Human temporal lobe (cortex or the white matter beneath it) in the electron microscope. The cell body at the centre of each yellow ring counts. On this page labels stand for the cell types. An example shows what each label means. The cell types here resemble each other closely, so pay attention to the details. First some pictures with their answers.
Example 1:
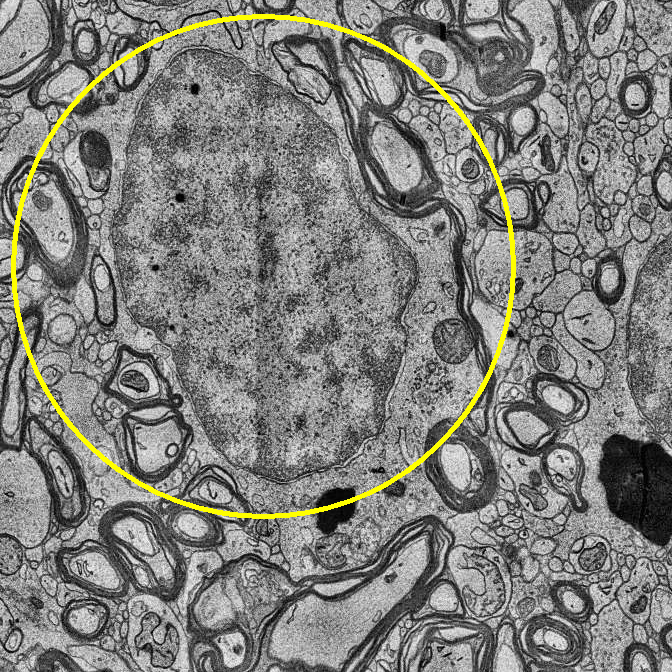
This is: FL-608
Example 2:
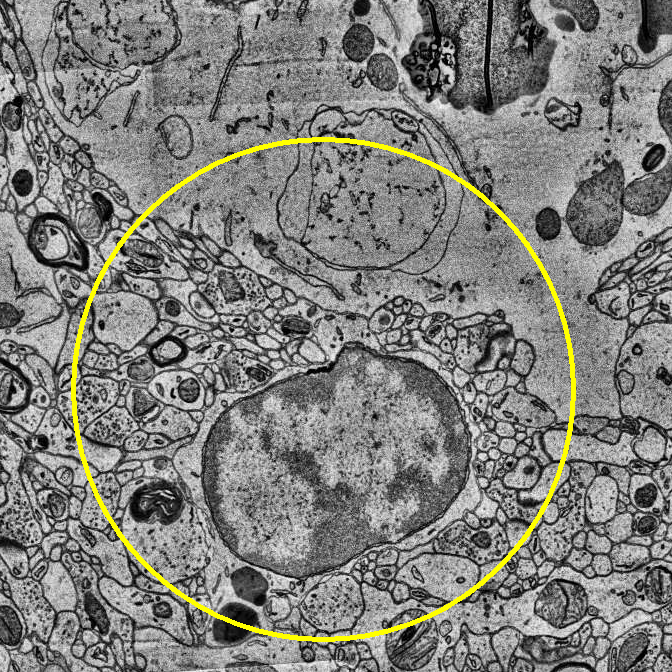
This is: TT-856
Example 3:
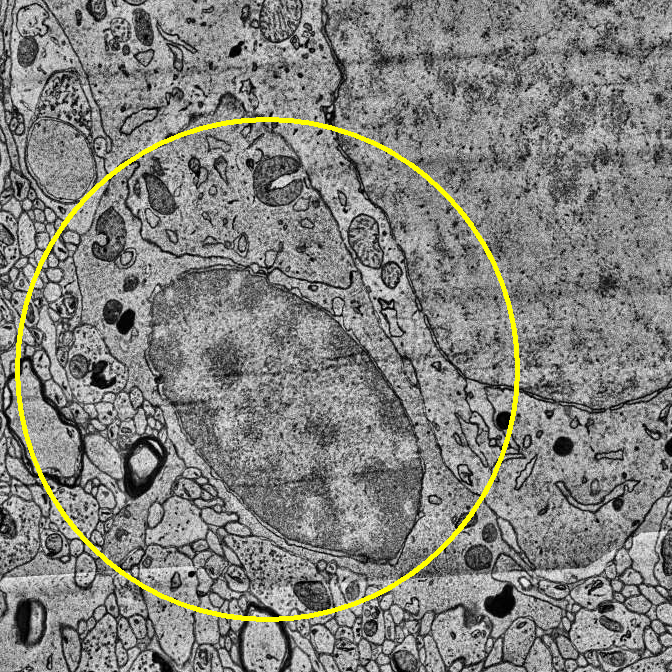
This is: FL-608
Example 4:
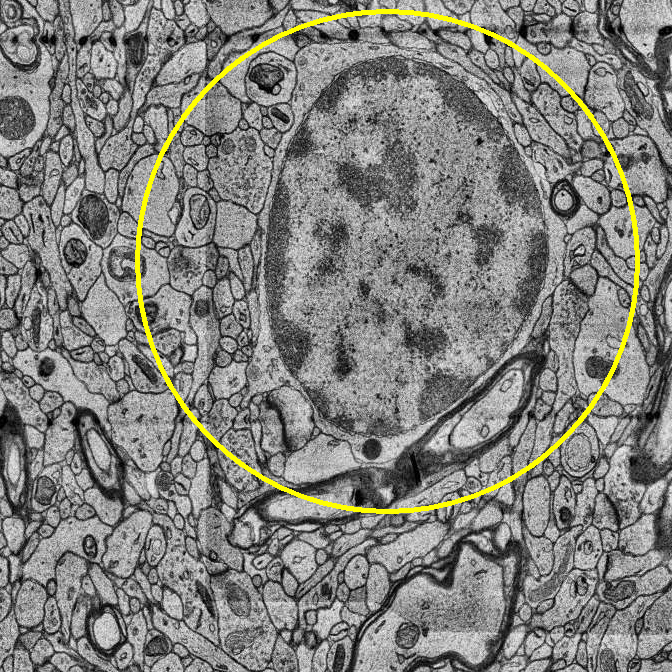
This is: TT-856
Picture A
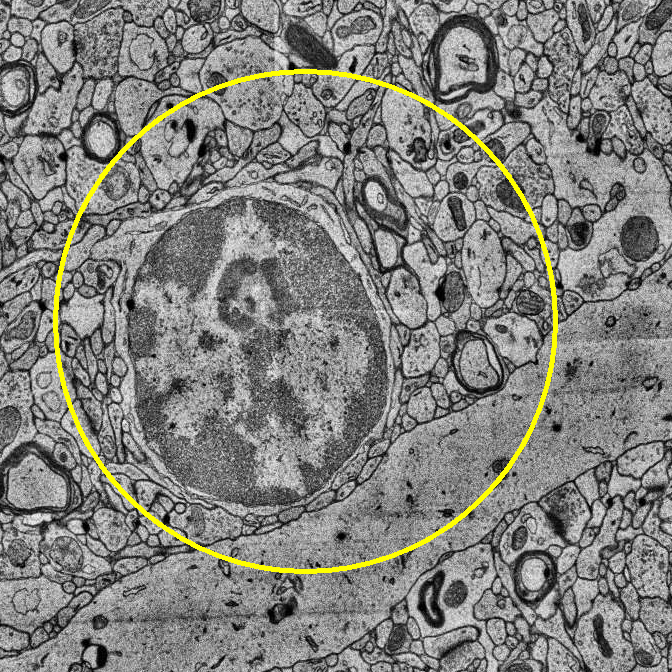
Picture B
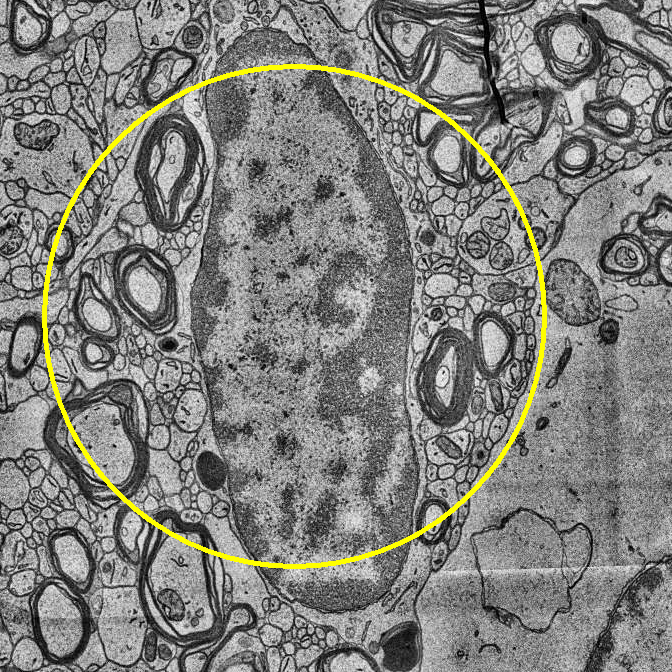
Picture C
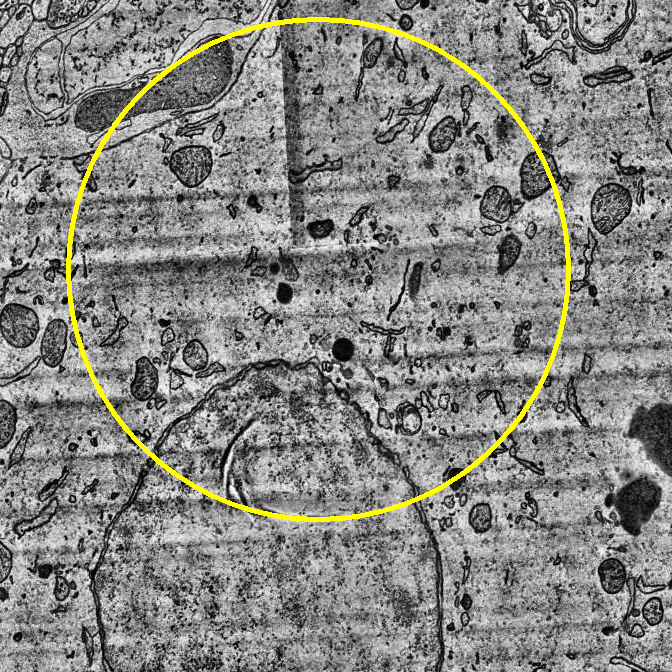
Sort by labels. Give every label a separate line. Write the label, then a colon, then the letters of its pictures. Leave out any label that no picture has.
FL-608: C
TT-856: A, B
